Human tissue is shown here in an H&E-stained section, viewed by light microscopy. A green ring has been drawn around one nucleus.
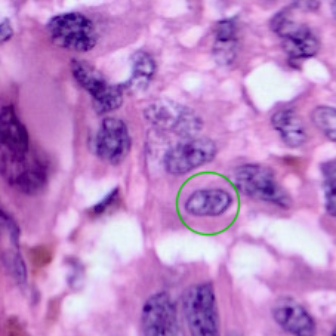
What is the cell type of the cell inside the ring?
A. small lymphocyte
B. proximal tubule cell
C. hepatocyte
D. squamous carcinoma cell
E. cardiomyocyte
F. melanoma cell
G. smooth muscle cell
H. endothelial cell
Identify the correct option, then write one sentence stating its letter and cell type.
In keeping with option F, the cell inside the ring is a melanoma cell.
